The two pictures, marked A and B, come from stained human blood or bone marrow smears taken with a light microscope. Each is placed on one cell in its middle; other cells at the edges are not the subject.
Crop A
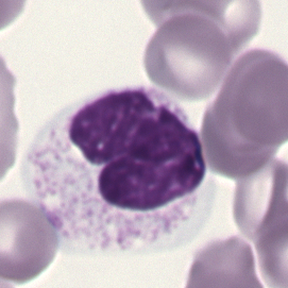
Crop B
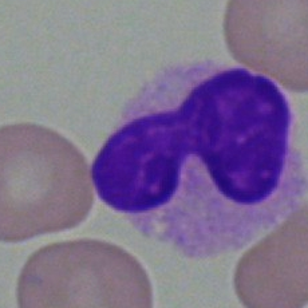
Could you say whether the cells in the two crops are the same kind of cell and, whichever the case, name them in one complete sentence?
Yes, it is band neutrophils that sit at the centre of both crops.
